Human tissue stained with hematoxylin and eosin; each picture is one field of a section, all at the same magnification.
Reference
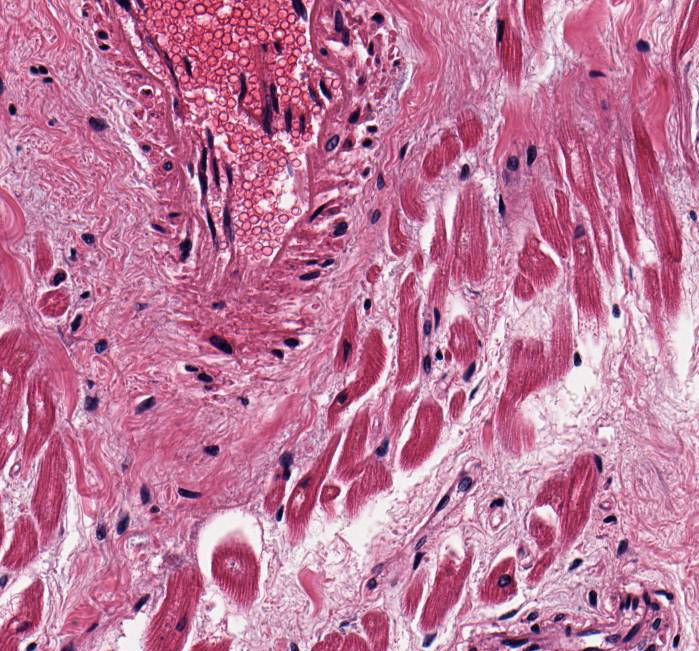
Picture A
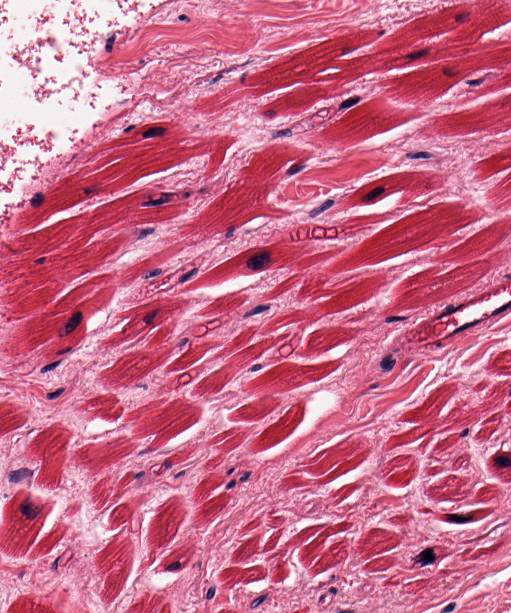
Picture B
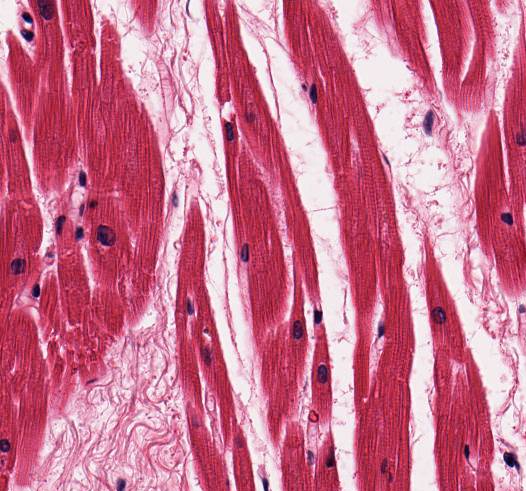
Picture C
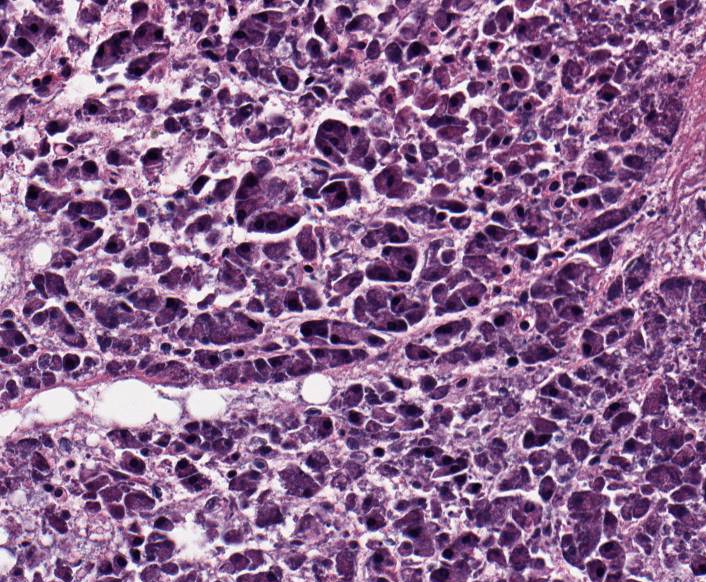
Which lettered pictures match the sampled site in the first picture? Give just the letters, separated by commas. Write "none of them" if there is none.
A, B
